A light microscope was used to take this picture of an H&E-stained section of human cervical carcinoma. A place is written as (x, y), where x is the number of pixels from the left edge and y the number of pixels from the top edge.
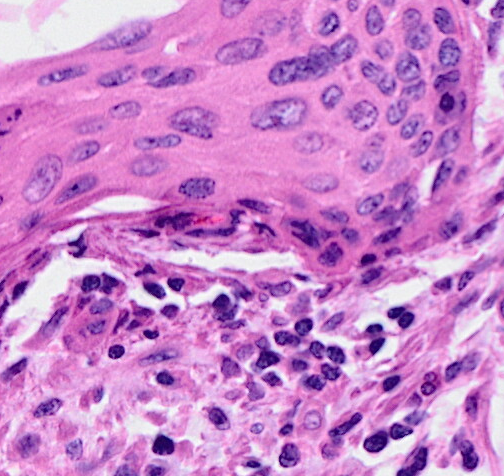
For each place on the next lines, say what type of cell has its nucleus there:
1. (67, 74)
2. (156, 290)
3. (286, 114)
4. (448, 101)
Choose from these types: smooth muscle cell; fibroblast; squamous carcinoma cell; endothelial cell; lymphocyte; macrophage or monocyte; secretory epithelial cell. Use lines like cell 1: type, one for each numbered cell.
cell 1: squamous carcinoma cell
cell 2: lymphocyte
cell 3: squamous carcinoma cell
cell 4: squamous carcinoma cell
